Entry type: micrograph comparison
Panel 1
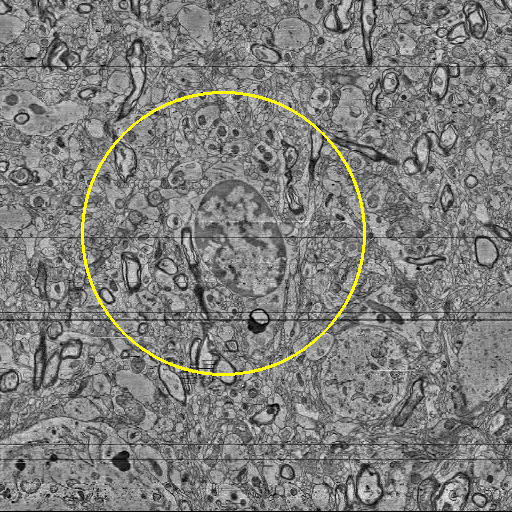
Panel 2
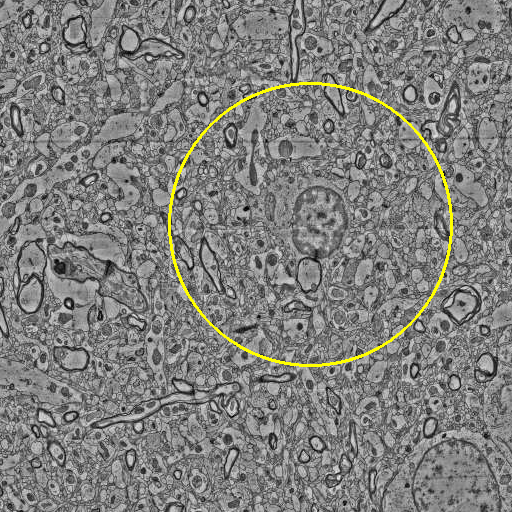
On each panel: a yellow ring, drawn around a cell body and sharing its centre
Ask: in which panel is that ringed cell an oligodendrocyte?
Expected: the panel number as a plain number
2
